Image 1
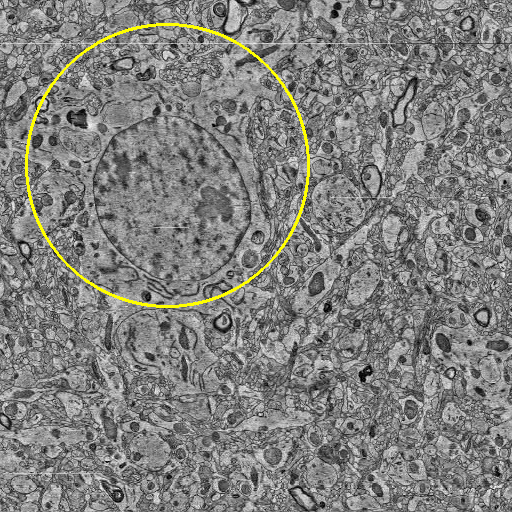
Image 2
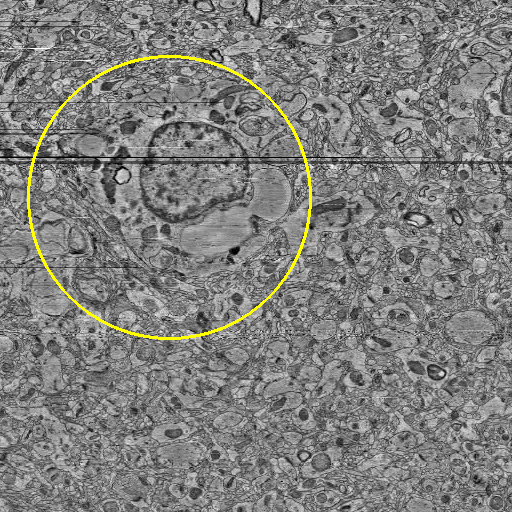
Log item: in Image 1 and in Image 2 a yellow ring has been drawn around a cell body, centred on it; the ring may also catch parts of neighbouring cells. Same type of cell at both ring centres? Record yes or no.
yes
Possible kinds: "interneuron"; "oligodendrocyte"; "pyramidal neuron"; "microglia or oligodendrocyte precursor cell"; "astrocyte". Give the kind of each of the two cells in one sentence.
The first and the second cell are each an astrocyte.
